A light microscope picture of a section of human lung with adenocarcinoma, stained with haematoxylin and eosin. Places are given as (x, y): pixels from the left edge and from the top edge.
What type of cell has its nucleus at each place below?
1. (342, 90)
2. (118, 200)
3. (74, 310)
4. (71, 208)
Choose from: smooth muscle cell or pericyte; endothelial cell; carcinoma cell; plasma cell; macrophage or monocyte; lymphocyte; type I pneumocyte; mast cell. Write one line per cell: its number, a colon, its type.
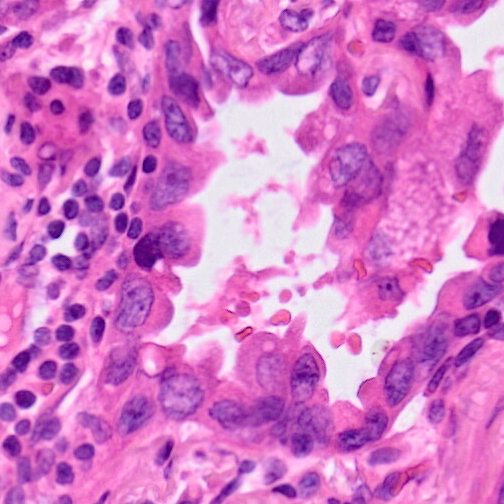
1: carcinoma cell
2: lymphocyte
3: lymphocyte
4: lymphocyte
